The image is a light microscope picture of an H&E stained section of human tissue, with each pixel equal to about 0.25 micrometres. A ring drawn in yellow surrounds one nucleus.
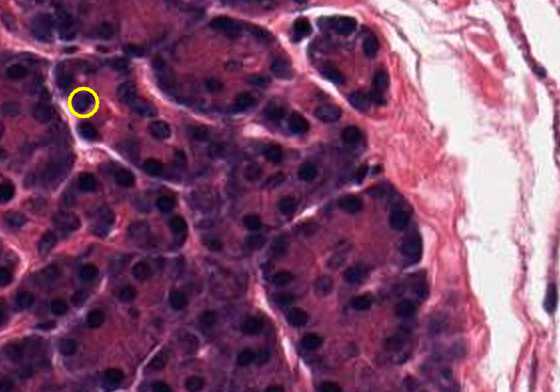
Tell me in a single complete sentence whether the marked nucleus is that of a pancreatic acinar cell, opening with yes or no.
Yes, the marked nucleus is the nucleus belonging to a pancreatic acinar cell.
